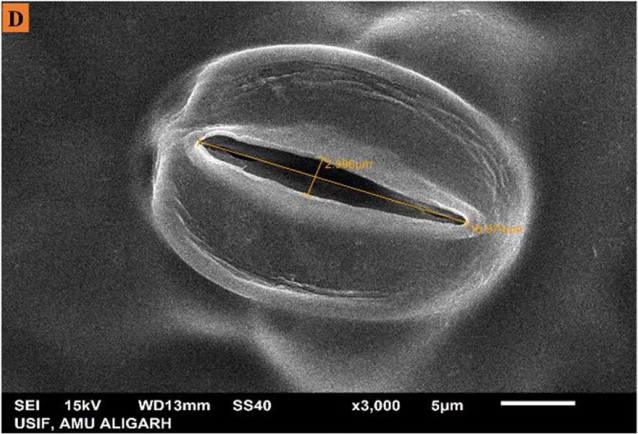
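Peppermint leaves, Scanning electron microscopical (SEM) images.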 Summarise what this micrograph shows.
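A raised, nearly oval structure sits on a gently wavy leaf surface, built of two paired, kidney-shaped cells whose smooth walls bear fine striations following their curve. The surrounding epidermis forms low, rounded swellings with indistinct boundaries.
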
